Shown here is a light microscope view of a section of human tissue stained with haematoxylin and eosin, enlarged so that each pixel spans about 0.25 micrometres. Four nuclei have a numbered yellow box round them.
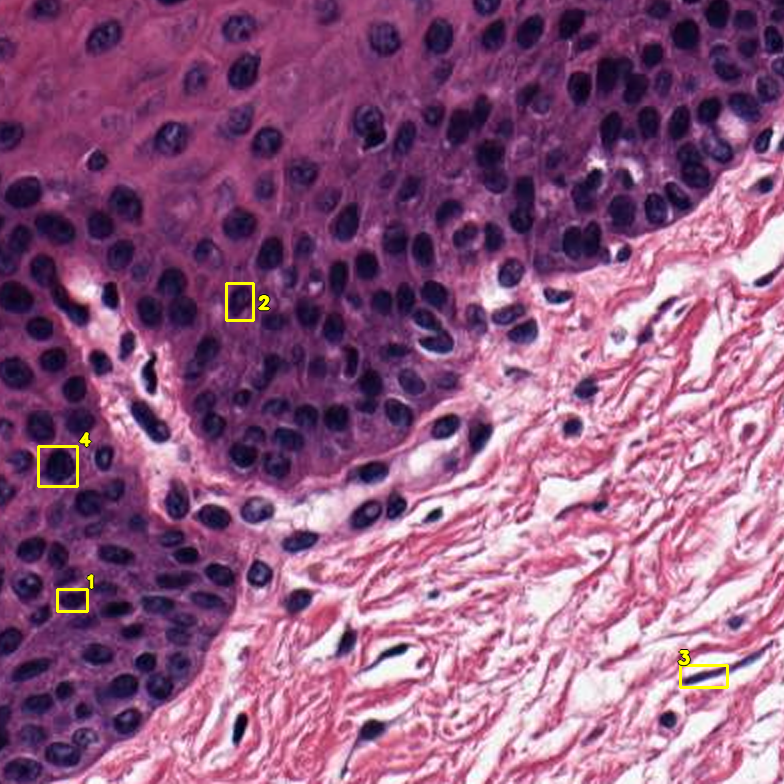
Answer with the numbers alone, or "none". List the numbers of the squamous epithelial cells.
1, 2, 4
